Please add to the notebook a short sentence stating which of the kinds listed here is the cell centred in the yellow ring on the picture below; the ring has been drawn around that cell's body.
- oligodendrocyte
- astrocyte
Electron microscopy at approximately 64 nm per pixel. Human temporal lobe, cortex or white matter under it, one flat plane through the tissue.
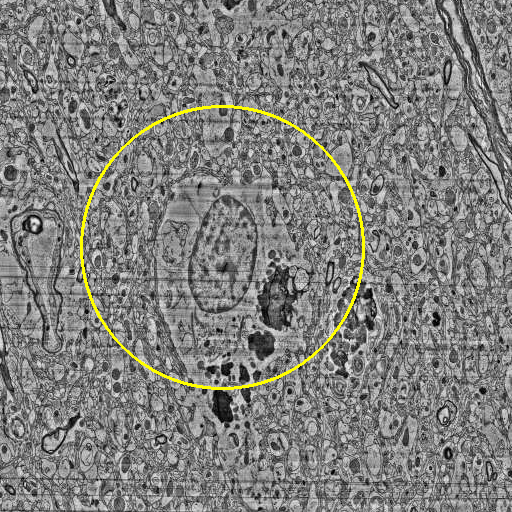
The cell centred in the yellow ring is an astrocyte.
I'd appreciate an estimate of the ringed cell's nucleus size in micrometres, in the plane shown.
Roughly 7 micrometres long and 4 micrometres wide; in this plane the nucleus is clearly longer than it is wide.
